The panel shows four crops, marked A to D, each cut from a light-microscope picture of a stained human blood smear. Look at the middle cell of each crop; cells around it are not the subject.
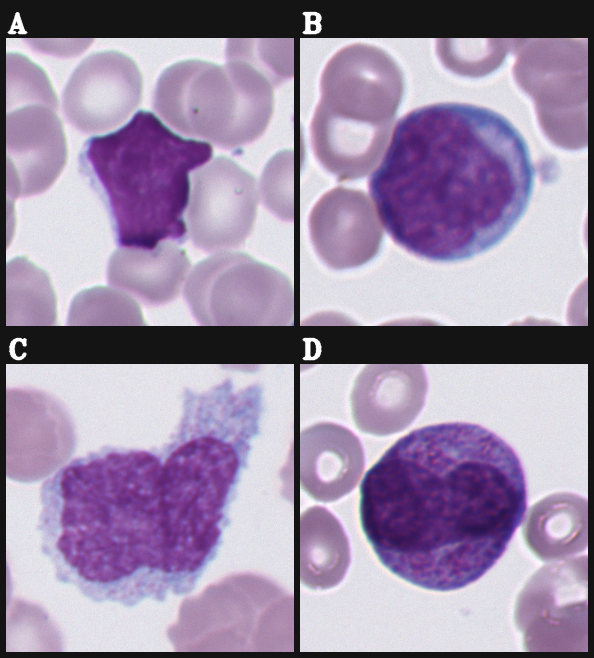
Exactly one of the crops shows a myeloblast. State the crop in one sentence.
Identified crop: B, the one that shows a myeloblast.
